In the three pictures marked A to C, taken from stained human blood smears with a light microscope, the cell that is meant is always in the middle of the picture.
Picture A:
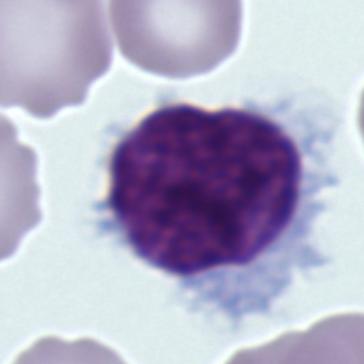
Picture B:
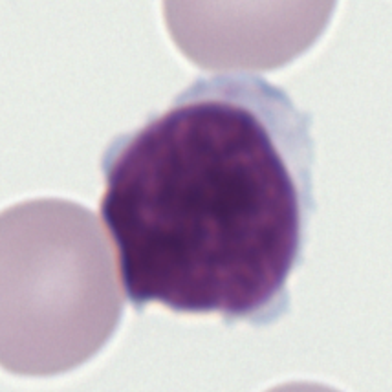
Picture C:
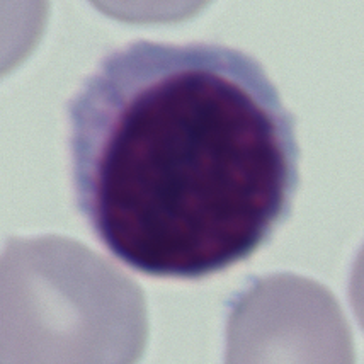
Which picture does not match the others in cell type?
A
